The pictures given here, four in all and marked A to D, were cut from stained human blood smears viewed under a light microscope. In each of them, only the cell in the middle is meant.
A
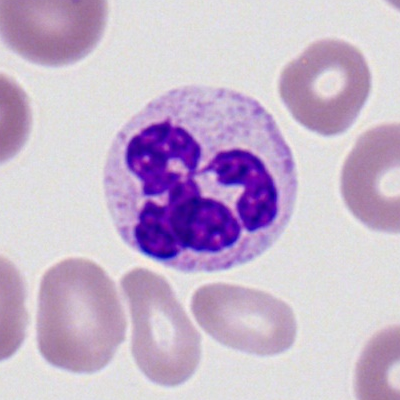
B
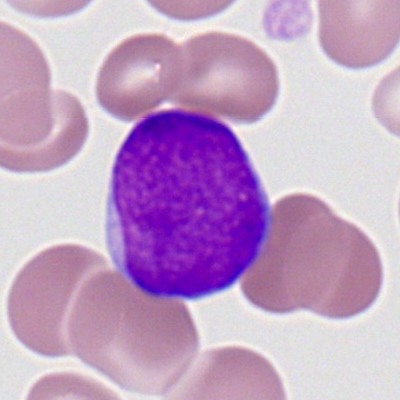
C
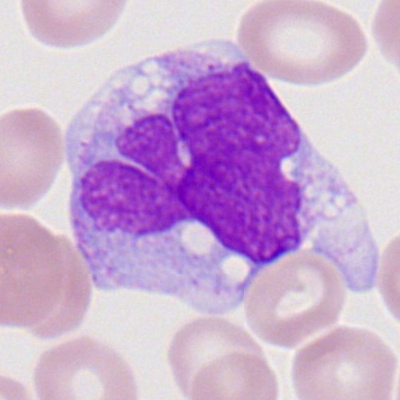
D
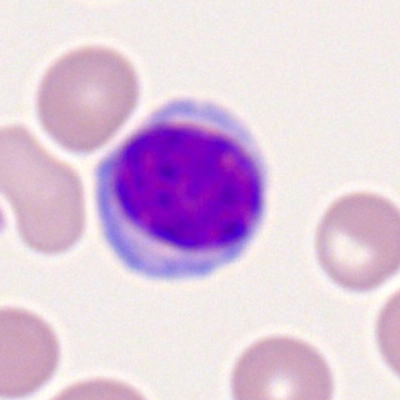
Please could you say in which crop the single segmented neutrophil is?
A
